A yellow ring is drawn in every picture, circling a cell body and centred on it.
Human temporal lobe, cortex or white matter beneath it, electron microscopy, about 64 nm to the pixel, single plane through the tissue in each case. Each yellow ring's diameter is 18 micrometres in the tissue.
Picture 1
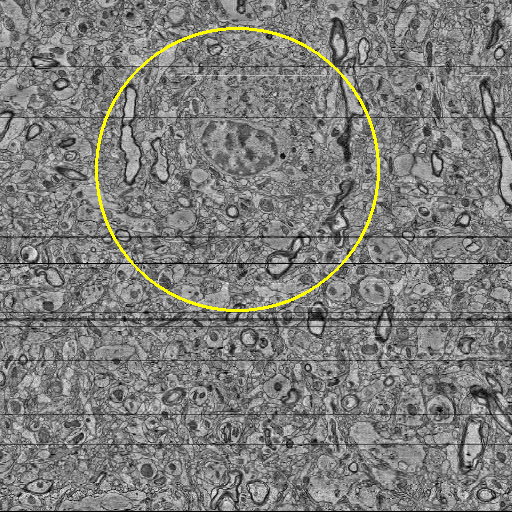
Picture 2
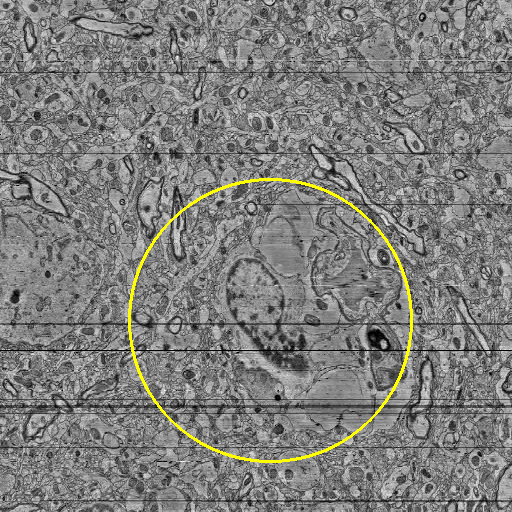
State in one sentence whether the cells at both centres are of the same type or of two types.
The cells at the two ring centres, one per picture, are of two types.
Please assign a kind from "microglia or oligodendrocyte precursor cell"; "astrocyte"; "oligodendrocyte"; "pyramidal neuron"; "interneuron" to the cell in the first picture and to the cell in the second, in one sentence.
In the first picture we have an oligodendrocyte, and in the second, a microglial cell or oligodendrocyte precursor cell.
